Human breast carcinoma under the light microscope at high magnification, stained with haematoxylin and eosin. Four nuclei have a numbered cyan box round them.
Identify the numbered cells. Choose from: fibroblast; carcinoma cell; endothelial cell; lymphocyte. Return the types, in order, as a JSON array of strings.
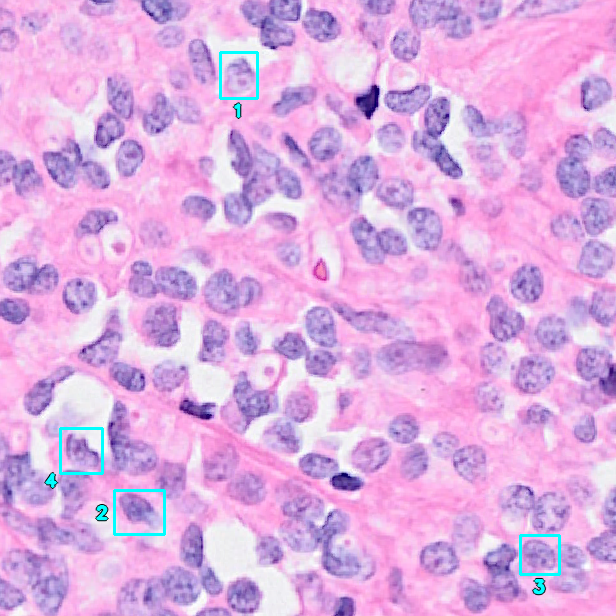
["carcinoma cell", "endothelial cell", "carcinoma cell", "carcinoma cell"]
